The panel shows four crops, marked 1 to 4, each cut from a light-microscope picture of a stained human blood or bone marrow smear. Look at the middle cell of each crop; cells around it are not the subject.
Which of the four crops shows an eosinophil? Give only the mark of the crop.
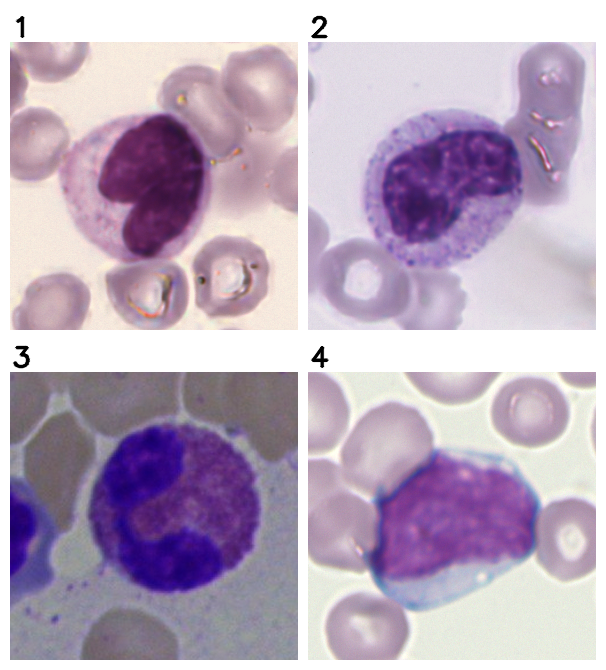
3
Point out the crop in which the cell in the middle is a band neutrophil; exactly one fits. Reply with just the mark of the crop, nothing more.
1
